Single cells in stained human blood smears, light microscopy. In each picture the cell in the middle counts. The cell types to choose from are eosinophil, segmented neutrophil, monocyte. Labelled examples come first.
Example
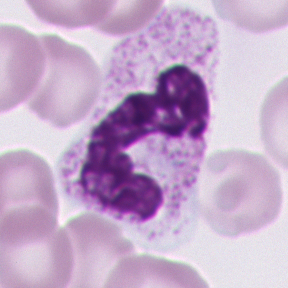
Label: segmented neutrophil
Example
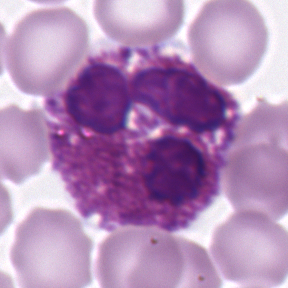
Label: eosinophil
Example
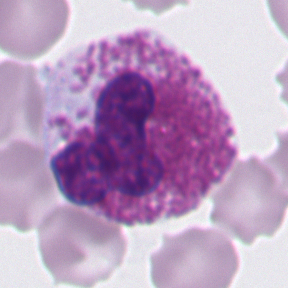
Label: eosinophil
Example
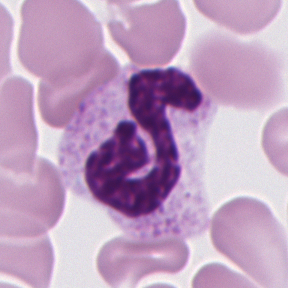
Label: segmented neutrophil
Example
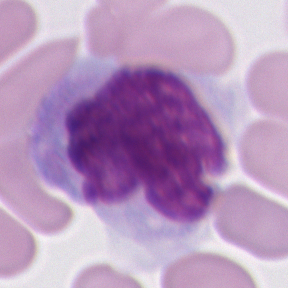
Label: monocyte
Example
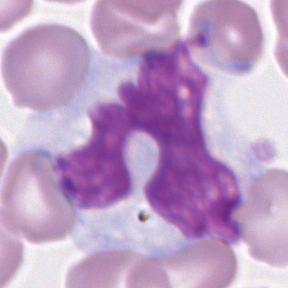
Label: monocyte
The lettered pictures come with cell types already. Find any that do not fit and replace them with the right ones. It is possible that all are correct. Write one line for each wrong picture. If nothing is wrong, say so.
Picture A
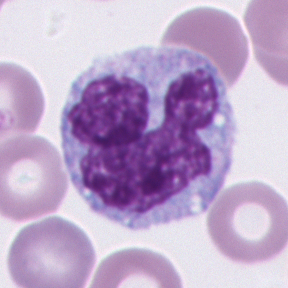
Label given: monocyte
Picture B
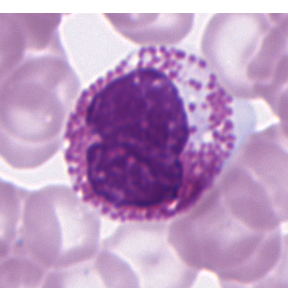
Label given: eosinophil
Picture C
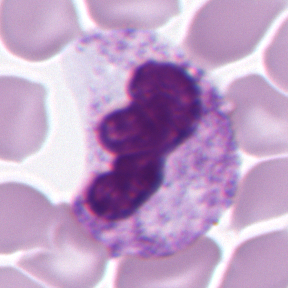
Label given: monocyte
C: segmented neutrophil, not monocyte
